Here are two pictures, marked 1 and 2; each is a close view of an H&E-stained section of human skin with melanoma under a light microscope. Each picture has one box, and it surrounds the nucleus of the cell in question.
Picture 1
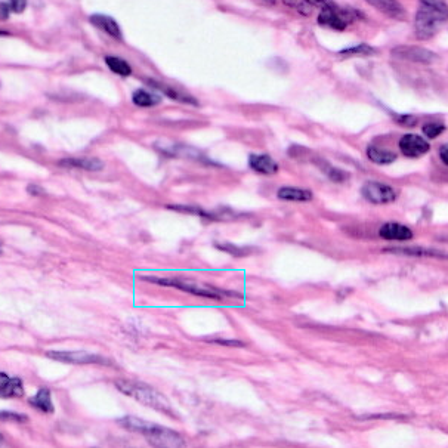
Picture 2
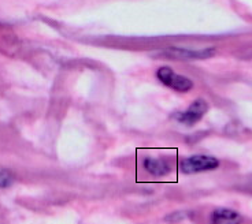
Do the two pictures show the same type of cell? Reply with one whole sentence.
No. Picture 1 shows a “fibroblast or myofibroblast”, but picture 2 shows a plasma cell.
